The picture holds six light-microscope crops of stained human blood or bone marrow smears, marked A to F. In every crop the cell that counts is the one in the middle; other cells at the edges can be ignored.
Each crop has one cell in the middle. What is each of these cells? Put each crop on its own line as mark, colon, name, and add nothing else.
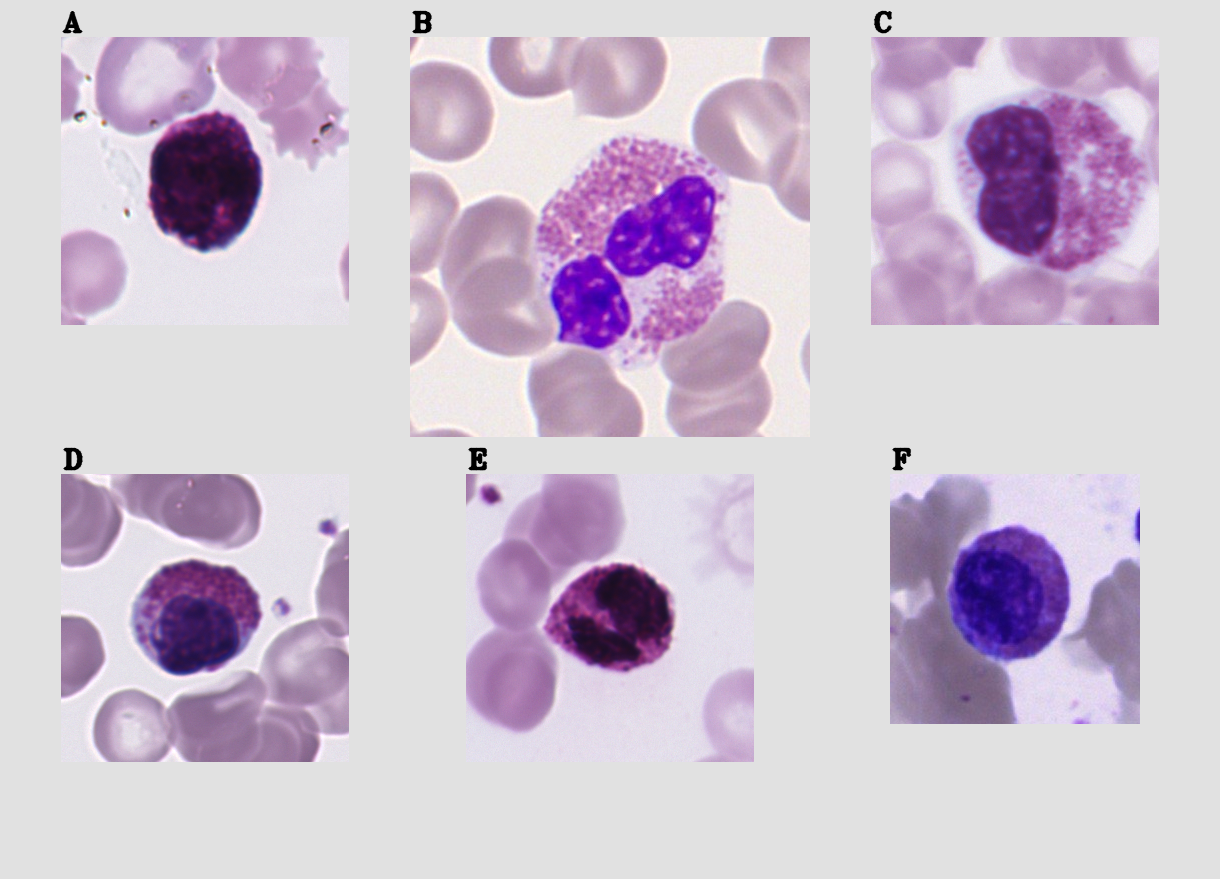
A: basophil
B: eosinophil
C: eosinophil
D: eosinophil
E: basophil
F: eosinophil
